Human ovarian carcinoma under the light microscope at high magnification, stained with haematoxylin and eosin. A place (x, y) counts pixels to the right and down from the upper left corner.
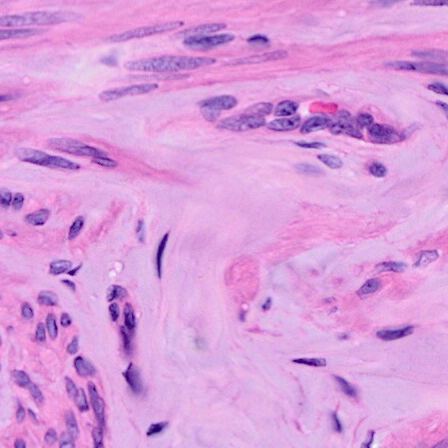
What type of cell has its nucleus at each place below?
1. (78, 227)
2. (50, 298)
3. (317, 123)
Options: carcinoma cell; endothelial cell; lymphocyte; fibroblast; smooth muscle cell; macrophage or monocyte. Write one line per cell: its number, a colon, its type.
1: smooth muscle cell
2: smooth muscle cell
3: endothelial cell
